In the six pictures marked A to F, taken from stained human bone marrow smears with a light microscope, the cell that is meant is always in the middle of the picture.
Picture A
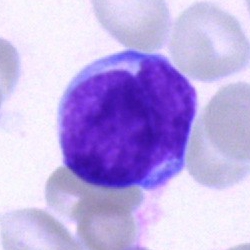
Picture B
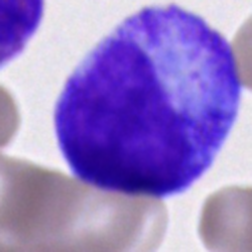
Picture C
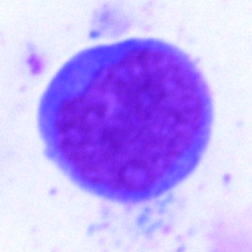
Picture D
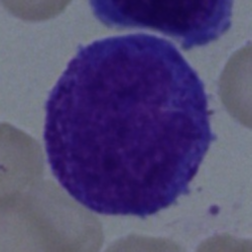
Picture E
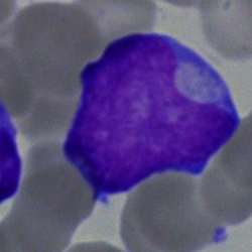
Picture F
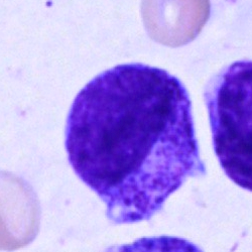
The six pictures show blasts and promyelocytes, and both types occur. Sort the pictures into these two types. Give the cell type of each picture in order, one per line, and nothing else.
blast
promyelocyte
blast
promyelocyte
blast
promyelocyte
